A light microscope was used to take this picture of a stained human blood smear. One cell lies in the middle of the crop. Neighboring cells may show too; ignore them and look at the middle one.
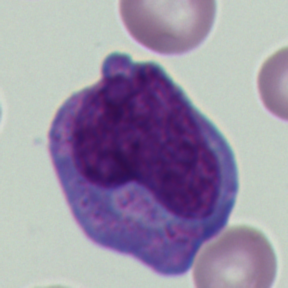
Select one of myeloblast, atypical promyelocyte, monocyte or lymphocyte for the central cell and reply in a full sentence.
Classified as an atypical promyelocyte is the cell in the middle of this crop.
